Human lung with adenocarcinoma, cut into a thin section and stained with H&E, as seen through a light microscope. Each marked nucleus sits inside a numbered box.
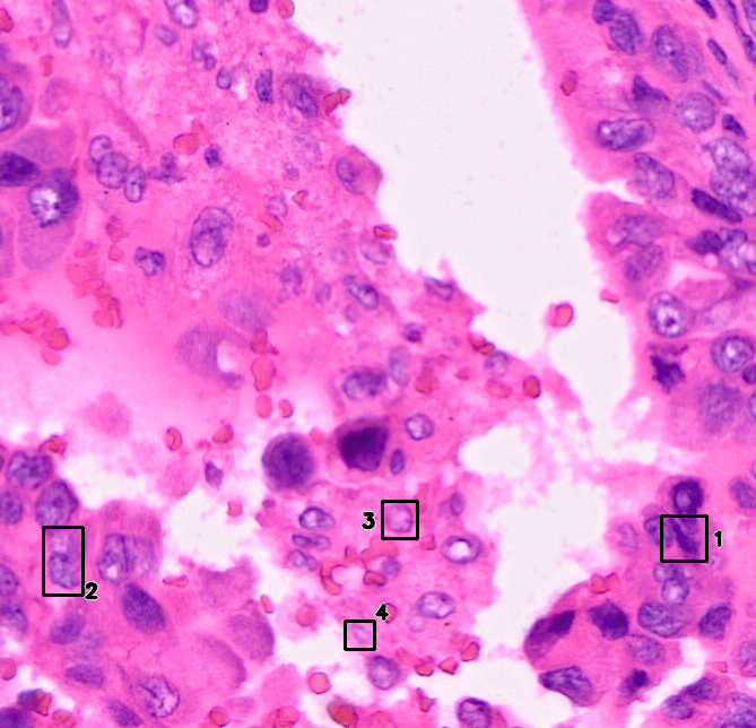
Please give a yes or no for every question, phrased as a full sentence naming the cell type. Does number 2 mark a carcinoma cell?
Yes, the cell sitting at number 2 is a carcinoma cell.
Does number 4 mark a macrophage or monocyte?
Yes, the cell corresponding to number 4 is a macrophage or monocyte.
